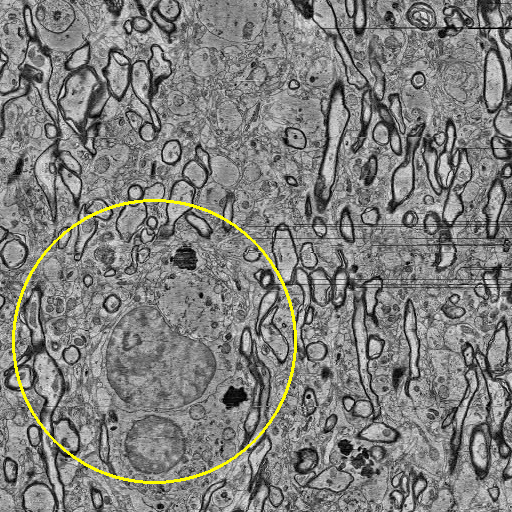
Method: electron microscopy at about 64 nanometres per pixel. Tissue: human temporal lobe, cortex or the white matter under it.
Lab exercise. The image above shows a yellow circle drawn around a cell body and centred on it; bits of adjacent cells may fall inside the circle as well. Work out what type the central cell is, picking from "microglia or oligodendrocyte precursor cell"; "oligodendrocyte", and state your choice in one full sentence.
In the image above, the cell at the centre of the yellow circle is an oligodendrocyte.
